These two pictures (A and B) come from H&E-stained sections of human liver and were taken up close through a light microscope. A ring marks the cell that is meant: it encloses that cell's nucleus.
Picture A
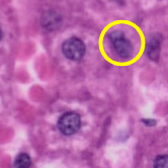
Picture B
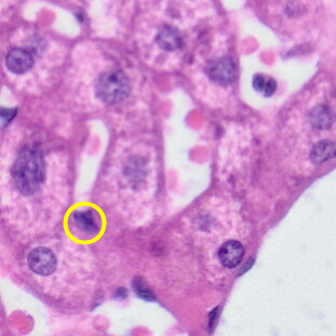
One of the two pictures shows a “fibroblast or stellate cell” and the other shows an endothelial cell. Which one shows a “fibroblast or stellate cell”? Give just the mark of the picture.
A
